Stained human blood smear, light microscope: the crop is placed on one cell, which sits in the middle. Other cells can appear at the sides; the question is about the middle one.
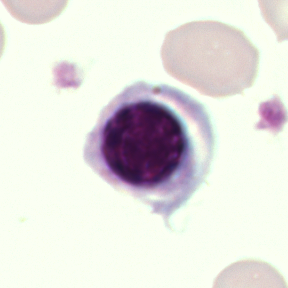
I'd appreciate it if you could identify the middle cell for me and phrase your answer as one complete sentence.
The cell in the exact centre of the crop is a normoblast.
